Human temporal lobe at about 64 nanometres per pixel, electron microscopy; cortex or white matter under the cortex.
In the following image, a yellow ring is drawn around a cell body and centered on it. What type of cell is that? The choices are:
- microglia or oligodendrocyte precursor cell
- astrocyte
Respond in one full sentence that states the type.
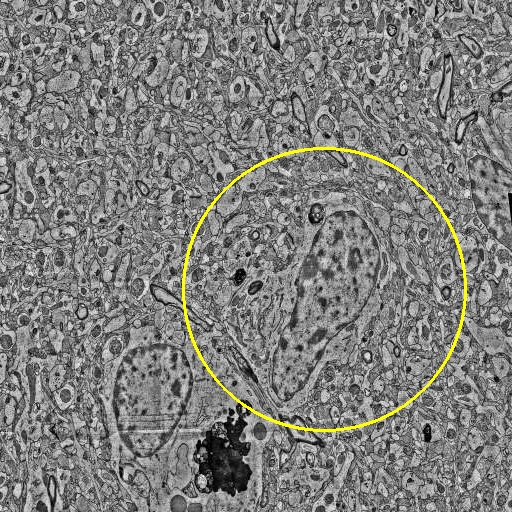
The cell at the center of the yellow ring in the image is a microglial cell or oligodendrocyte precursor cell.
